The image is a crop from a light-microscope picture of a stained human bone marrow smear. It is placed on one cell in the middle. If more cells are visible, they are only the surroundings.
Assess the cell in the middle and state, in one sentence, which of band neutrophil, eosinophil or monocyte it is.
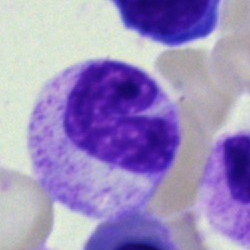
Occupying the centre of the crop is a band neutrophil.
